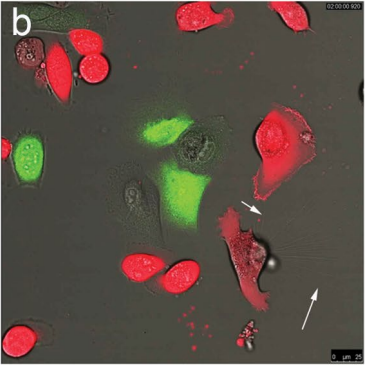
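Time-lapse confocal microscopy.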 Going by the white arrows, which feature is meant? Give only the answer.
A: Nanotube-like structures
